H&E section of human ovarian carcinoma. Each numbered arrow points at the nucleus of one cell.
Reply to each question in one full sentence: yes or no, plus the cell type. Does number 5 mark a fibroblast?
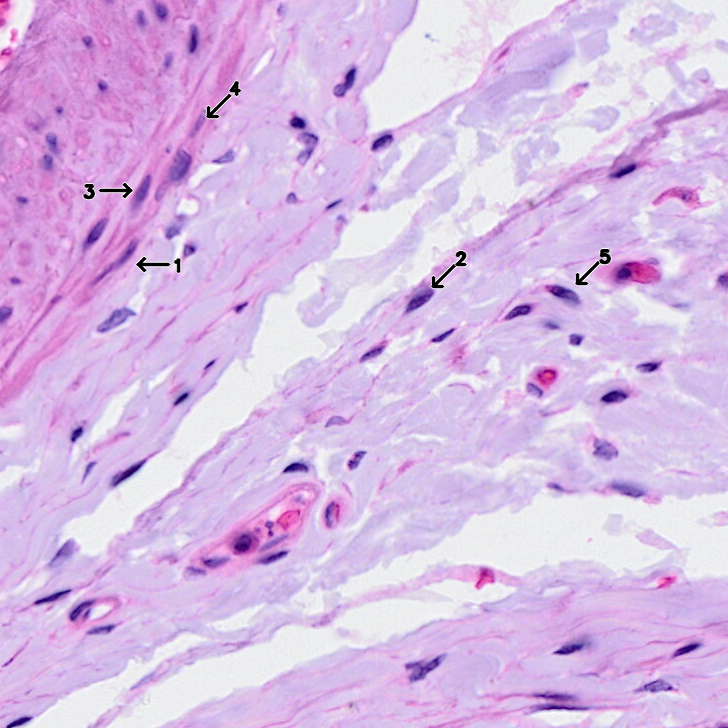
Yes, the marked cell number 5 is a fibroblast.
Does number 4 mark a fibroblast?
No, the cell carrying number 4 is a smooth muscle cell rather than a fibroblast.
